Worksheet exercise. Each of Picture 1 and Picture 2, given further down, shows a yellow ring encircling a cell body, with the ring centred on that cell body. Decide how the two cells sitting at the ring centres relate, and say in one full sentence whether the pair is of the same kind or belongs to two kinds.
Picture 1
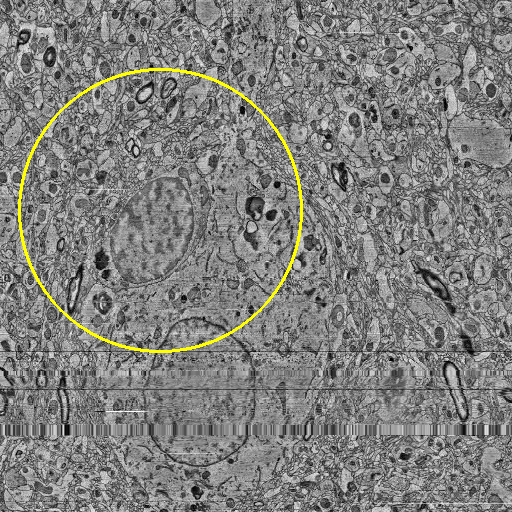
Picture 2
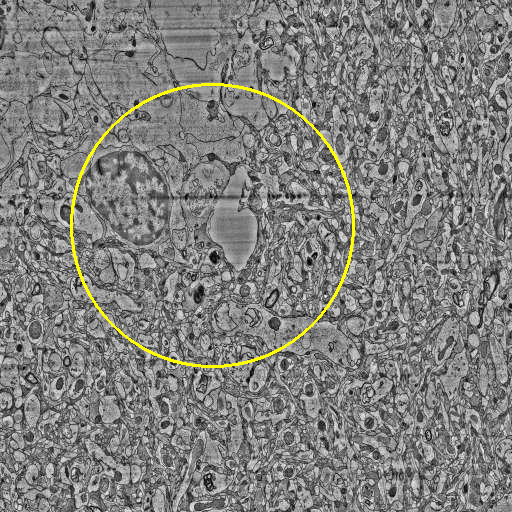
The cells at the ring centres in Picture 1 and Picture 2 are of the same kind.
